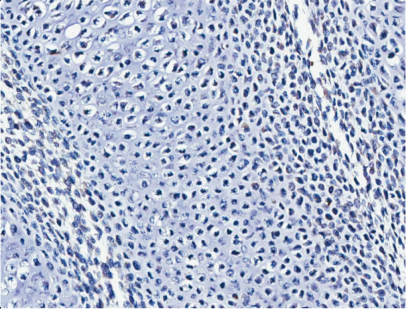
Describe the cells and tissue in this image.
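Rounded cells with small dark nuclei lie in a pale matrix, some with a clear space around them. Toward the right edge, the cells become flatter and spindle-shaped and form streams.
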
